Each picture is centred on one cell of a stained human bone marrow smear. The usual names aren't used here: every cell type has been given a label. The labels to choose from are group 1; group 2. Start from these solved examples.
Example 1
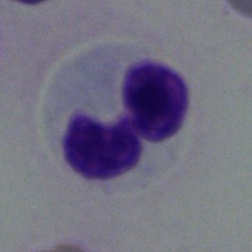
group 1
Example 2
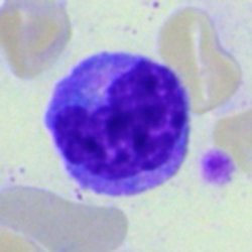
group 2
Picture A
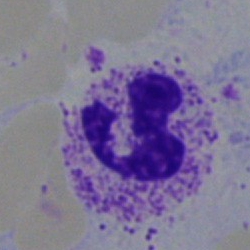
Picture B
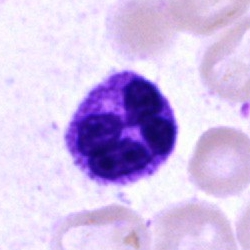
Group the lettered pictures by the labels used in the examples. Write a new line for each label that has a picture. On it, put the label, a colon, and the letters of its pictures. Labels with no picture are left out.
group 1: A, B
